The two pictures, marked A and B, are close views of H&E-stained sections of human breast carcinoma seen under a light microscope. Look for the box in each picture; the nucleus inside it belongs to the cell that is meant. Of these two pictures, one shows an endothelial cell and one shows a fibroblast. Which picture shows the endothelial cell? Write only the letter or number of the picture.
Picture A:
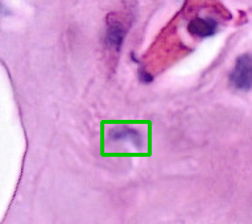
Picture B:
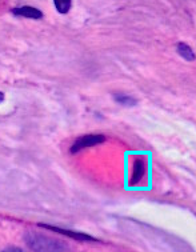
B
